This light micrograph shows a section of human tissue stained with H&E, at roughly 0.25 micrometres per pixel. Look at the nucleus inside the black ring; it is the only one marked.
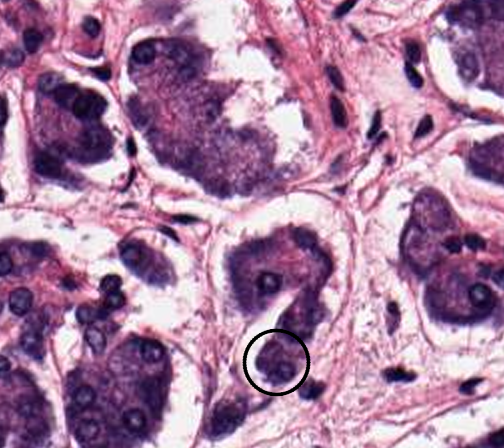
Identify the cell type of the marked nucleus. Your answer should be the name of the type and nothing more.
pancreatic acinar cell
